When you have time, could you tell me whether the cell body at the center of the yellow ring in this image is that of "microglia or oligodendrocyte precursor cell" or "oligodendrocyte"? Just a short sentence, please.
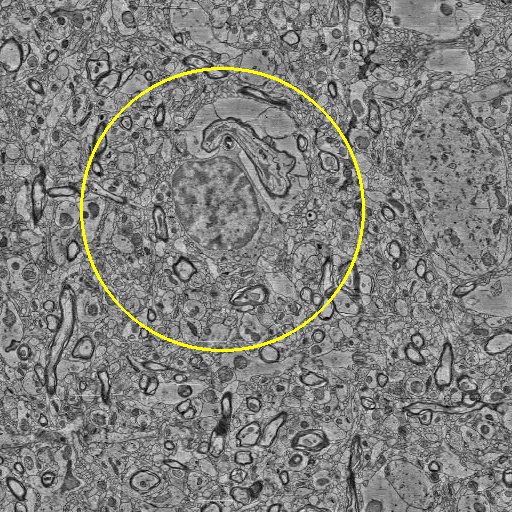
The cell body at the center of the ring is that of an oligodendrocyte.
